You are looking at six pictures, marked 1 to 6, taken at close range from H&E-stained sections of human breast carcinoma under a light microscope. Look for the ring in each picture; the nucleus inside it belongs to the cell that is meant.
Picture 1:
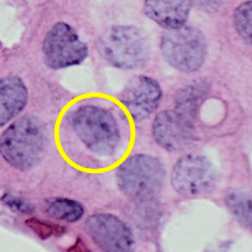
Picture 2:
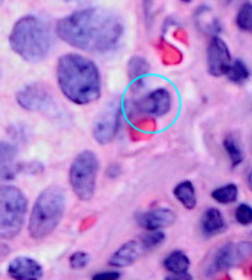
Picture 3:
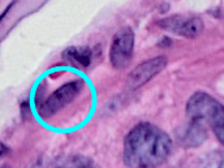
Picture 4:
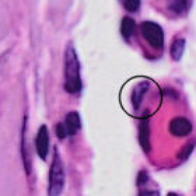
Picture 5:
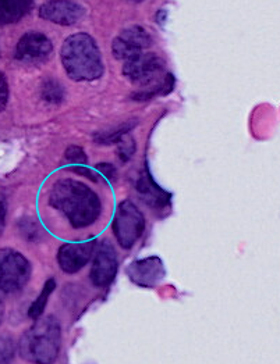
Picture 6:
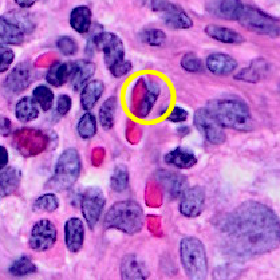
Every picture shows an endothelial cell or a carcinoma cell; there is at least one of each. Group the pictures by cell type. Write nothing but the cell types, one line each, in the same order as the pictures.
carcinoma cell
endothelial cell
endothelial cell
endothelial cell
carcinoma cell
endothelial cell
